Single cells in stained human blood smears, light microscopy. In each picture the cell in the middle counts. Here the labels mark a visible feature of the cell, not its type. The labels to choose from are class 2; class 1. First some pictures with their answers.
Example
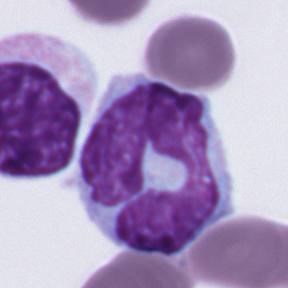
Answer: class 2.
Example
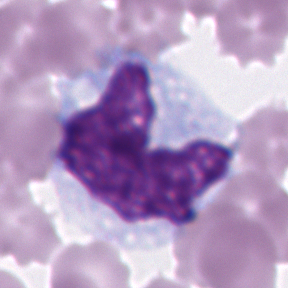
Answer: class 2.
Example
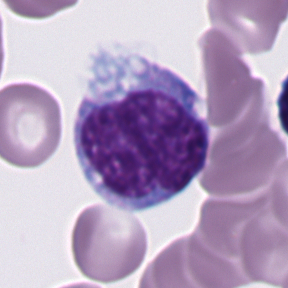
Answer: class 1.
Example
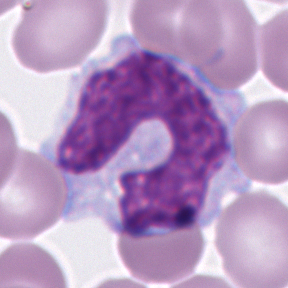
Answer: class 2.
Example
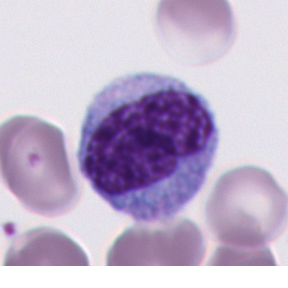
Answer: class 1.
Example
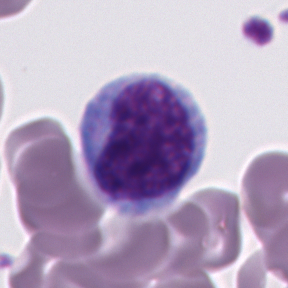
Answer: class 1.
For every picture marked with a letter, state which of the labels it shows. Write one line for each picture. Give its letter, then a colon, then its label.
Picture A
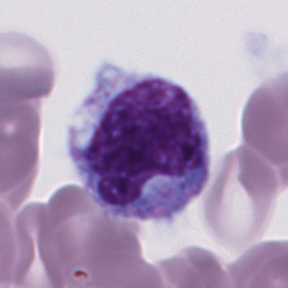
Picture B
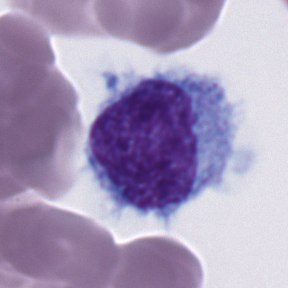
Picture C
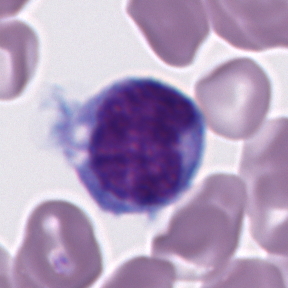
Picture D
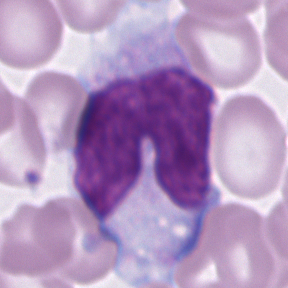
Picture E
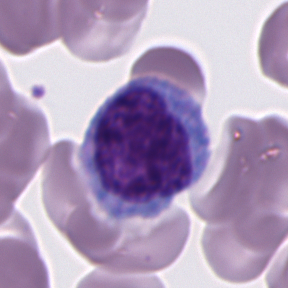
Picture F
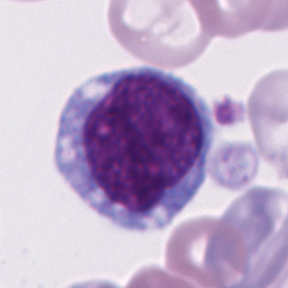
A: class 1.
B: class 1.
C: class 1.
D: class 2.
E: class 1.
F: class 1.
